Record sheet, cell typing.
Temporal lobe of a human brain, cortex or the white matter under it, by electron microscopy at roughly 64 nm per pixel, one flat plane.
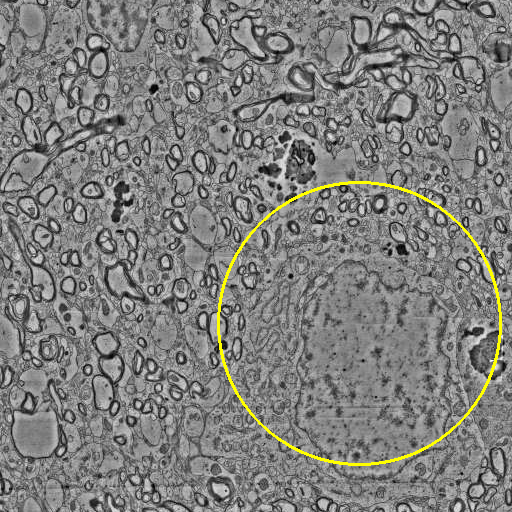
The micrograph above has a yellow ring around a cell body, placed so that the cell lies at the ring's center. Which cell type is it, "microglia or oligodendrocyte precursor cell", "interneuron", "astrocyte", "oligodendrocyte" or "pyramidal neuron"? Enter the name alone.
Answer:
interneuron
